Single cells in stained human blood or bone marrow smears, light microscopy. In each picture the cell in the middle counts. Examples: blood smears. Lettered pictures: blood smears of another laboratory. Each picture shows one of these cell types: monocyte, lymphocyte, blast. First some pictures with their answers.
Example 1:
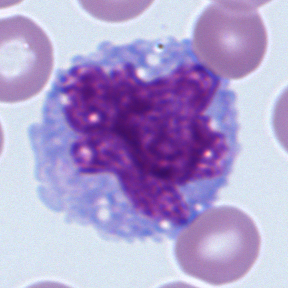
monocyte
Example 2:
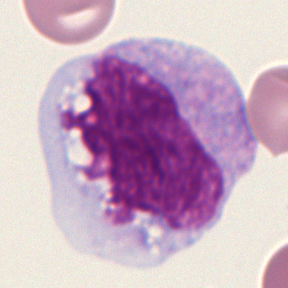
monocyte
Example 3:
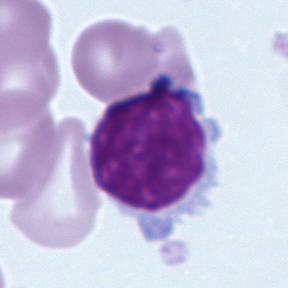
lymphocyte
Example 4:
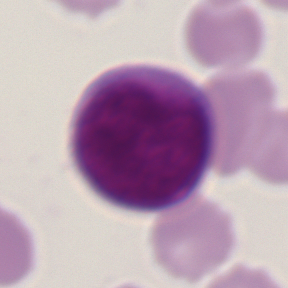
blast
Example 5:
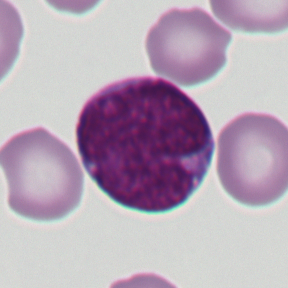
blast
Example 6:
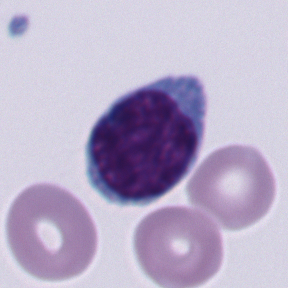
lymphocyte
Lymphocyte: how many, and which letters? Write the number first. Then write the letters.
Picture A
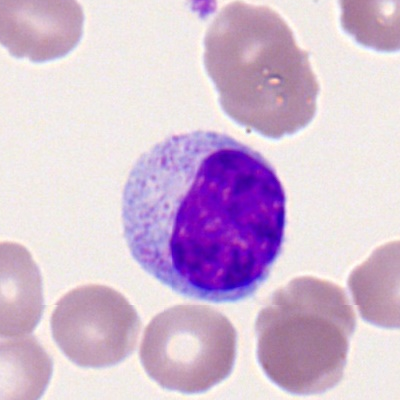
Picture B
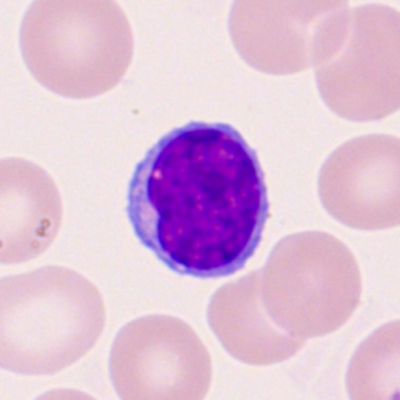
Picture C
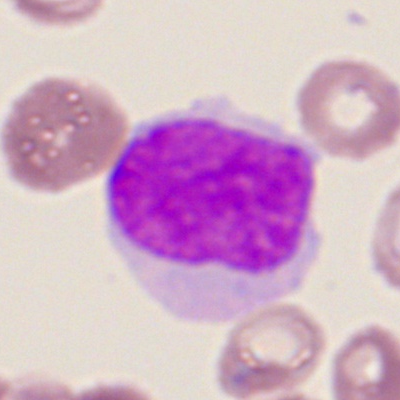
2: A, B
